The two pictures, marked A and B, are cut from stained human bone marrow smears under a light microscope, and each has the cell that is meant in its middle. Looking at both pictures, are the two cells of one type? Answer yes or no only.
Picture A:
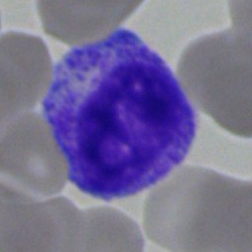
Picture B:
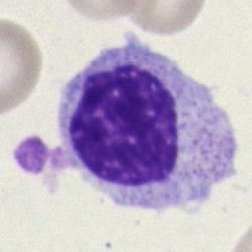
yes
